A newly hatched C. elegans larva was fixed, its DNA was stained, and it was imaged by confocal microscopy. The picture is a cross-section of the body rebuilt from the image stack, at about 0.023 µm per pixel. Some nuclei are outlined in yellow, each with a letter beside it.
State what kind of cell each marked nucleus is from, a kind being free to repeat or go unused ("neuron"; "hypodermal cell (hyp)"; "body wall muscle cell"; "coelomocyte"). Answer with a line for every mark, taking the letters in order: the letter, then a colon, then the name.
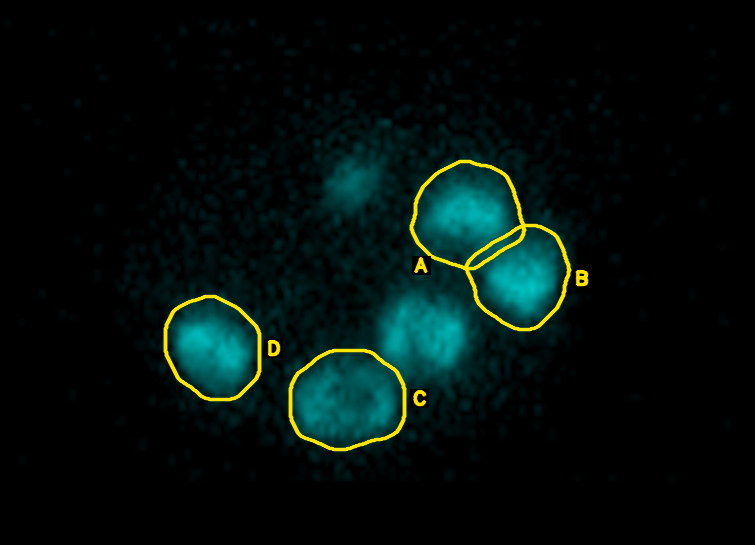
A: coelomocyte
B: neuron
C: hypodermal cell (hyp)
D: body wall muscle cell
